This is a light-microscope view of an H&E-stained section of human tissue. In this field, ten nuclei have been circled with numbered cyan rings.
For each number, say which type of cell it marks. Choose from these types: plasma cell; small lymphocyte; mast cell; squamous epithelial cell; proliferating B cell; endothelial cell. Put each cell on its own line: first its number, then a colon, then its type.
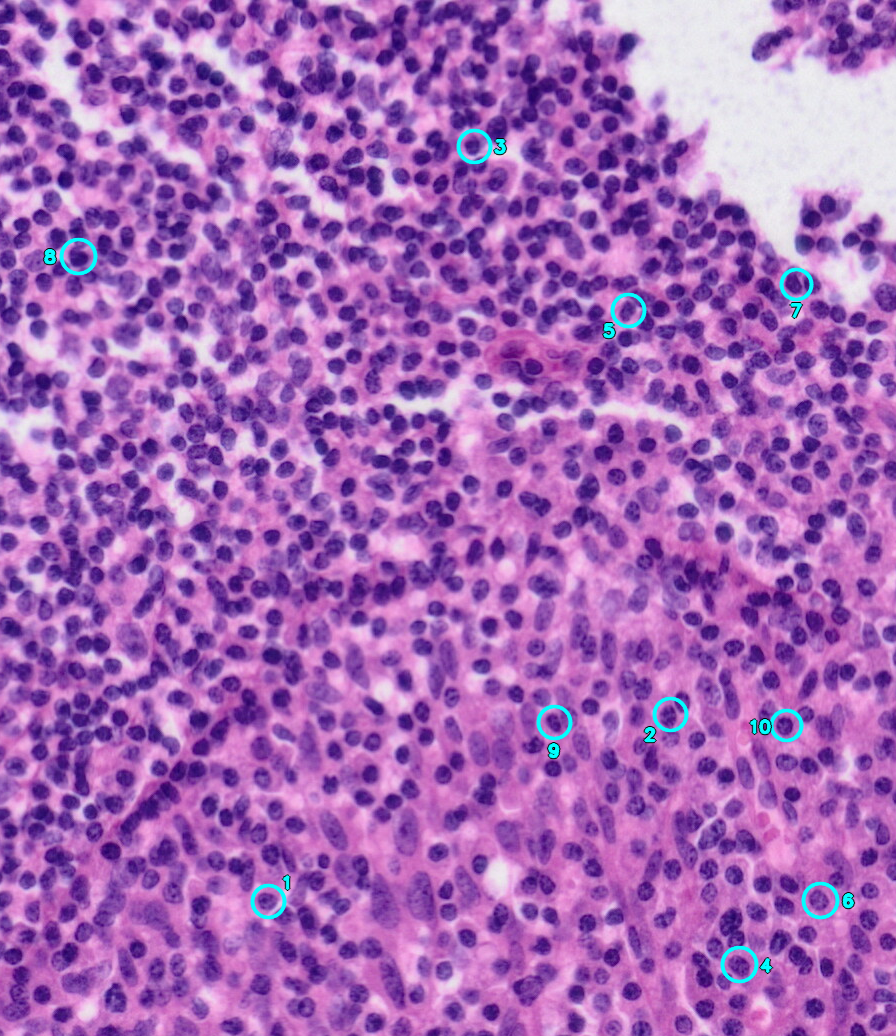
1: plasma cell
2: plasma cell
3: small lymphocyte
4: plasma cell
5: small lymphocyte
6: plasma cell
7: small lymphocyte
8: small lymphocyte
9: plasma cell
10: plasma cell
